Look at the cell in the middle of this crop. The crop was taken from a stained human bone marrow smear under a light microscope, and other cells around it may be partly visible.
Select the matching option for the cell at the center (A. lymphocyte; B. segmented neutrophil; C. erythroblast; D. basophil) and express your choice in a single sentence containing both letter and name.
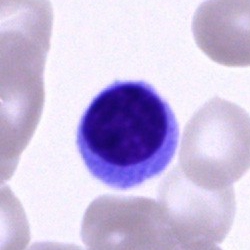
Of the choices given, option A is right, as the central cell is a lymphocyte.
